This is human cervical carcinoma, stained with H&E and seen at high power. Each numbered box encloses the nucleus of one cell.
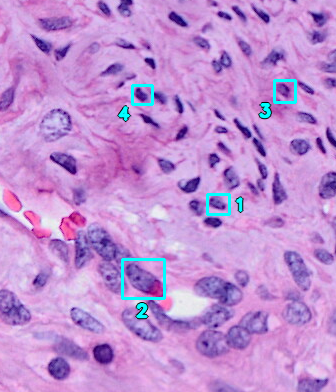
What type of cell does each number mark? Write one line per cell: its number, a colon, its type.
1: smooth muscle cell
2: endothelial cell
3: smooth muscle cell
4: smooth muscle cell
